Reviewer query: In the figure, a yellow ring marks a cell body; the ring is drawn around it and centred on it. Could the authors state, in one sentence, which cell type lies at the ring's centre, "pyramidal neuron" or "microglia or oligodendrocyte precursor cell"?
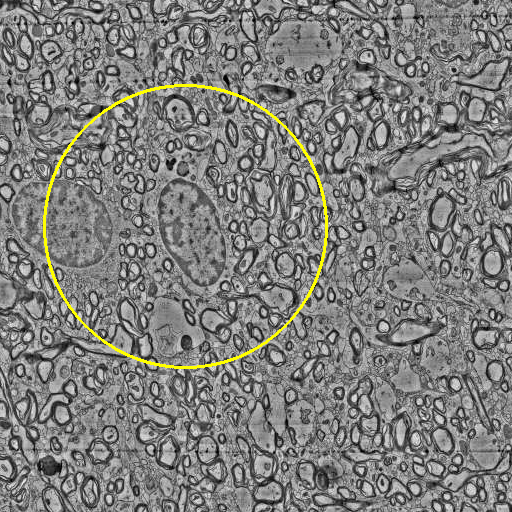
The ring is centred on a microglial cell or oligodendrocyte precursor cell.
